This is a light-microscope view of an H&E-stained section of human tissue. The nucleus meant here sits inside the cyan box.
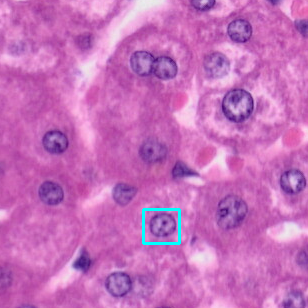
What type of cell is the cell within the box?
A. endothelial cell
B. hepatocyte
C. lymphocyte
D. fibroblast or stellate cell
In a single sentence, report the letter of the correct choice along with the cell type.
Given that the cell within the box is a hepatocyte, option B is the correct one.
